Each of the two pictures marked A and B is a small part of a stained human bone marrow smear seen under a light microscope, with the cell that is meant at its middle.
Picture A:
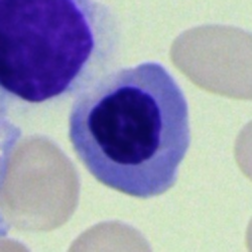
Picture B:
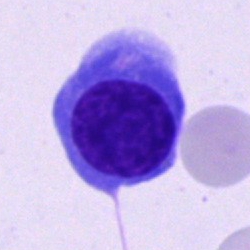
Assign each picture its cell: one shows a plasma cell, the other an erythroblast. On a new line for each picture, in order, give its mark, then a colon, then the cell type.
A: erythroblast
B: plasma cell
